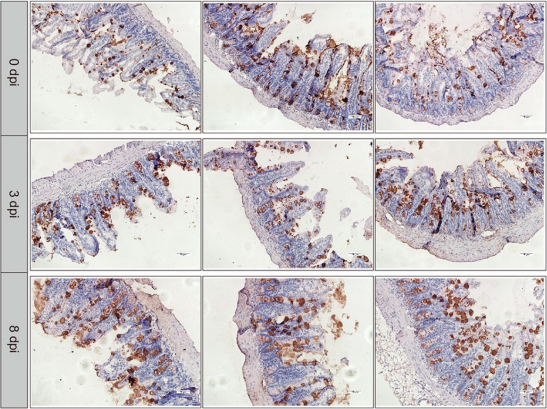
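Grid of nine sections of small intestinal mucosa showing villi lined by columnar epithelium with scattered brown-stained goblet cells. The epithelial nuclei and the lamina propria are counterstained blue. Brown goblet cells sit singly among the epithelial cells along the villi and in the crypts near the muscular wall. Their brown content is rounded or oval and in some sections crowds together at the bases of the villi. The density of brown cells differs between the sections of the grid.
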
